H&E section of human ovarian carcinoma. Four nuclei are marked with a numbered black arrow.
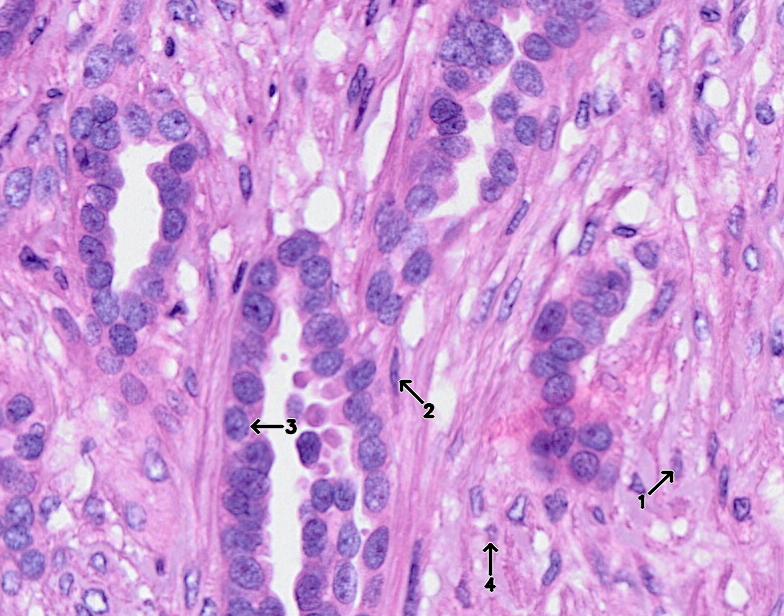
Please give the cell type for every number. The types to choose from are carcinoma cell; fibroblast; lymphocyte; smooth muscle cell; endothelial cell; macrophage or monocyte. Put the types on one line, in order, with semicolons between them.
fibroblast; fibroblast; carcinoma cell; fibroblast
